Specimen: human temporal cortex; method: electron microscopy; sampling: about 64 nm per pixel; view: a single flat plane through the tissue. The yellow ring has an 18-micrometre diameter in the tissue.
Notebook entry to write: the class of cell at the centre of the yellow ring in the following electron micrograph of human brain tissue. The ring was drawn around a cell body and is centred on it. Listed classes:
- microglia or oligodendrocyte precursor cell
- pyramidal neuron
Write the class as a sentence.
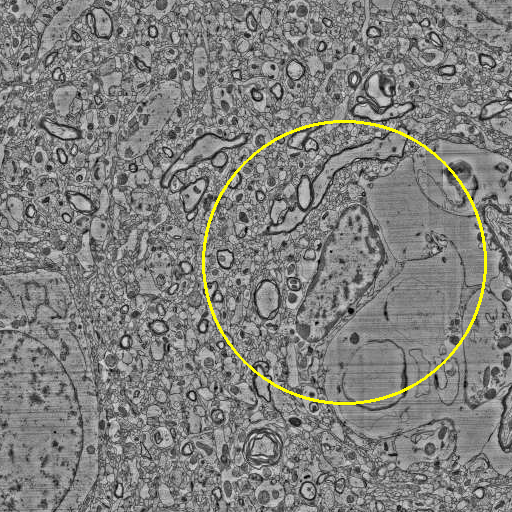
The yellow ring sits on a microglial cell or oligodendrocyte precursor cell.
